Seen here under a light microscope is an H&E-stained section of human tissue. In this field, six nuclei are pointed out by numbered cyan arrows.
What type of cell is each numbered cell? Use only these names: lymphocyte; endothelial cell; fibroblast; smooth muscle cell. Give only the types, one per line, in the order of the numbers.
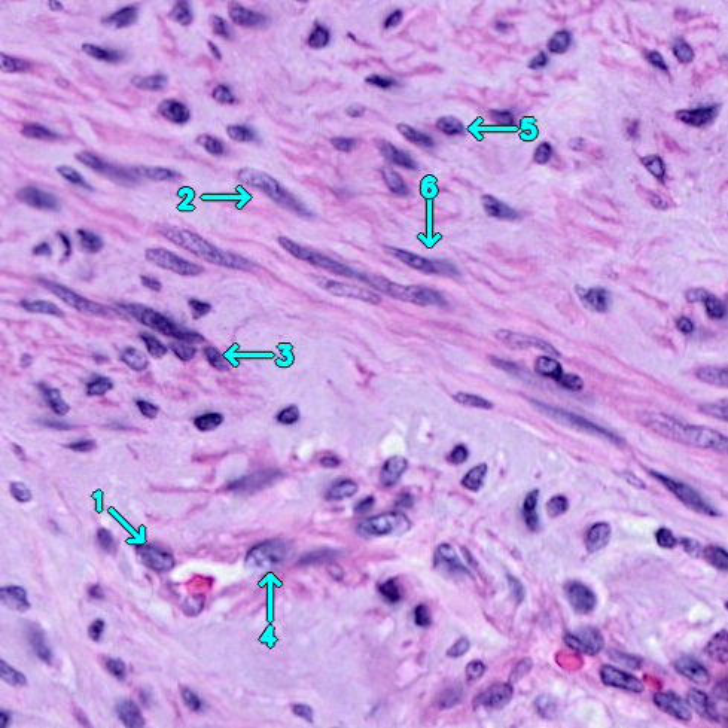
endothelial cell
smooth muscle cell
smooth muscle cell
endothelial cell
smooth muscle cell
smooth muscle cell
